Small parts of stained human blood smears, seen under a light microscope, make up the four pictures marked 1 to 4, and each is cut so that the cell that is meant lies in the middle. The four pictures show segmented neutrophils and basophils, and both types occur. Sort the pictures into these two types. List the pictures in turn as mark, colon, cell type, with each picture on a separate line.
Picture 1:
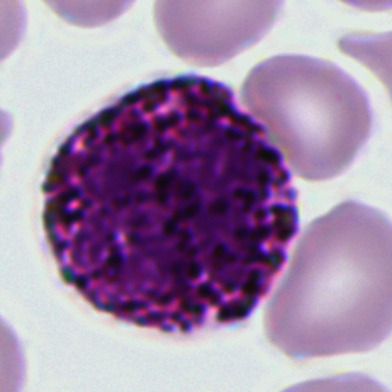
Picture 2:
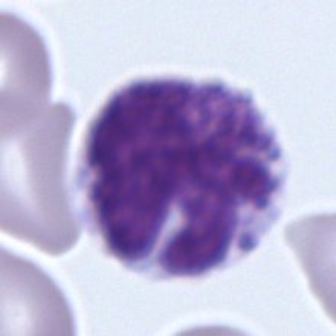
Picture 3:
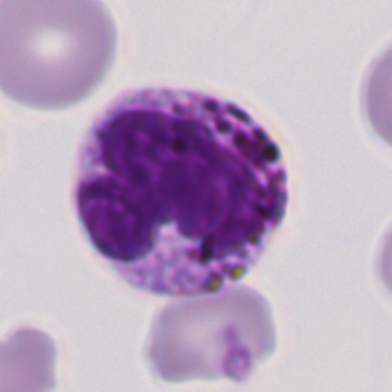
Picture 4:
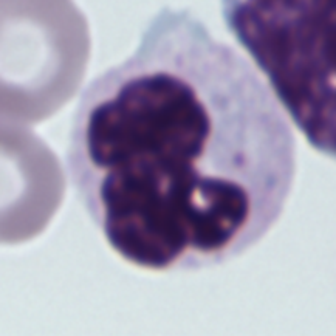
1: basophil
2: basophil
3: basophil
4: segmented neutrophil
